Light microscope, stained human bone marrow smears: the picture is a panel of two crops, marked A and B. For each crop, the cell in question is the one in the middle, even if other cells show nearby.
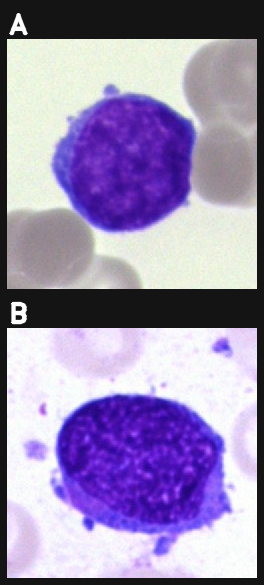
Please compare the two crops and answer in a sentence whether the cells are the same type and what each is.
Yes, both crops contain blasts at their centres.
